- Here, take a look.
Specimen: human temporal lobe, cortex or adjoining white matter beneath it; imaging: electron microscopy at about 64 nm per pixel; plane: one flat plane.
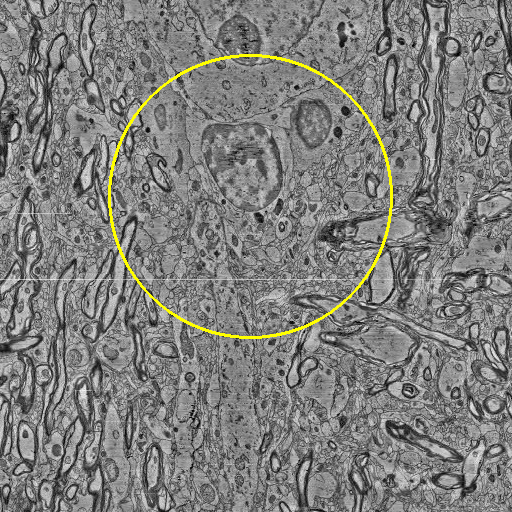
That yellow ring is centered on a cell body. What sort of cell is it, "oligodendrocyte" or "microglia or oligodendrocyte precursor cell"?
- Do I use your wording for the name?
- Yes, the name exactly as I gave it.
microglia or oligodendrocyte precursor cell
